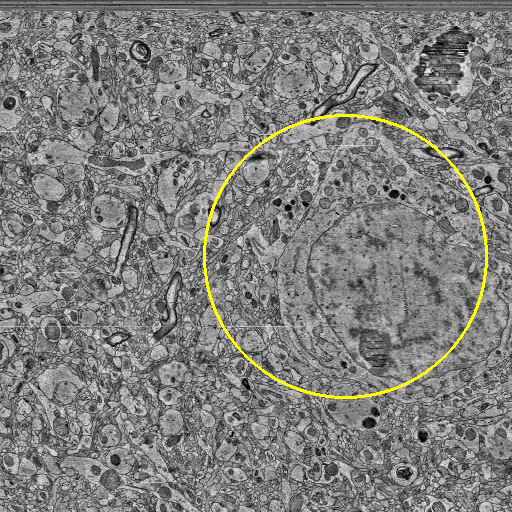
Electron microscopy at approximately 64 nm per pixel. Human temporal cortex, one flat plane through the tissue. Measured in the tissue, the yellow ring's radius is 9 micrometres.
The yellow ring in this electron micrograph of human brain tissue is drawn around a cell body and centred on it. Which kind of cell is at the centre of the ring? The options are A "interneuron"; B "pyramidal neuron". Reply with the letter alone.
A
